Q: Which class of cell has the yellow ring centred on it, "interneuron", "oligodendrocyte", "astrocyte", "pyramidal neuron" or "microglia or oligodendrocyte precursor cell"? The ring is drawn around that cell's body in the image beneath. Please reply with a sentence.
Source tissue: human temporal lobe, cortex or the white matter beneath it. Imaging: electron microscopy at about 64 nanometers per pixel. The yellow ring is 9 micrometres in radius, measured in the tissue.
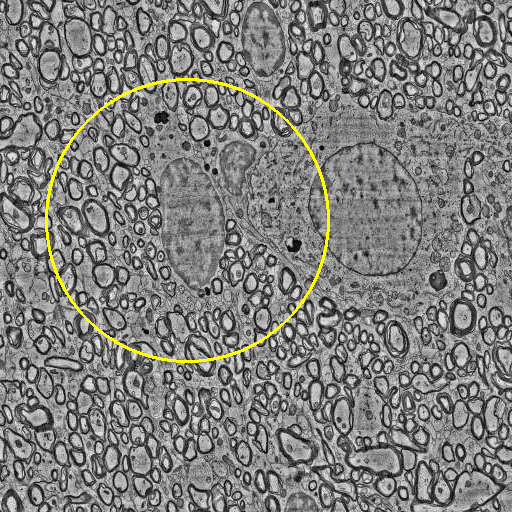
It is centred on an oligodendrocyte.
